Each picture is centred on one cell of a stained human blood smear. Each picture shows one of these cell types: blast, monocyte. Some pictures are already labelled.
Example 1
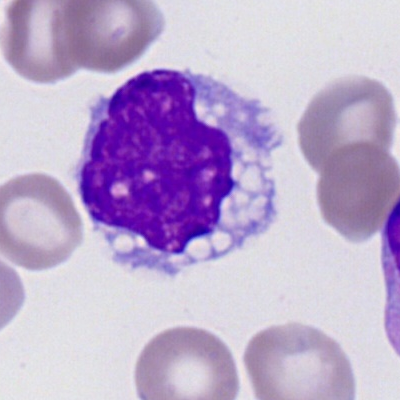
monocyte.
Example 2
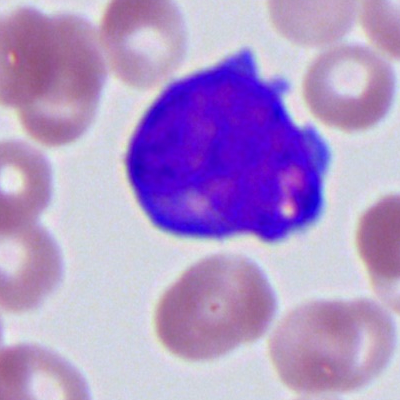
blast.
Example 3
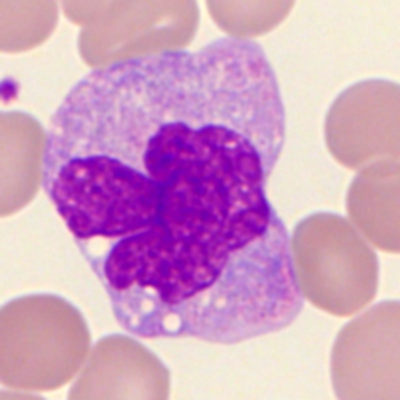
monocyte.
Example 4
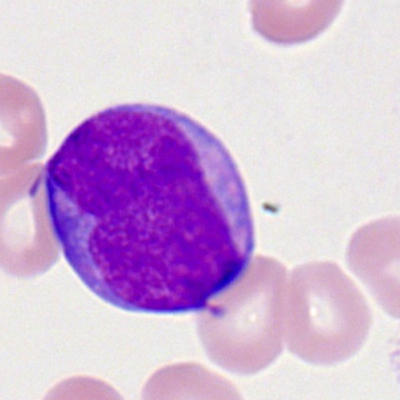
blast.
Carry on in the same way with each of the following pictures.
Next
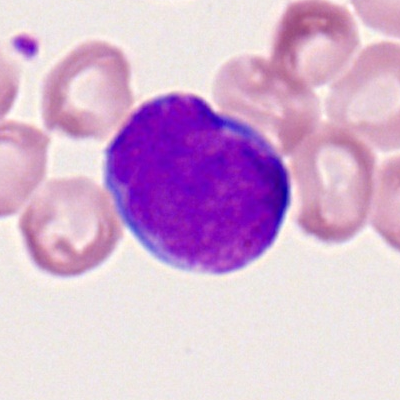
blast.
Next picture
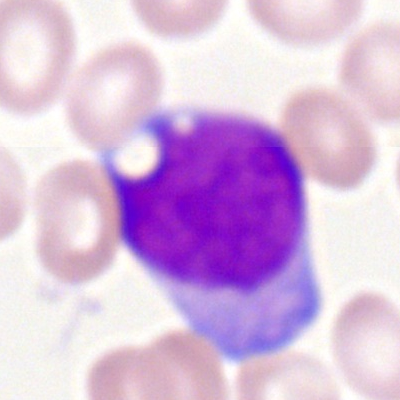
blast.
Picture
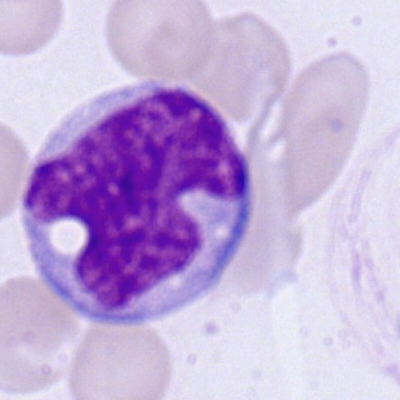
monocyte.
